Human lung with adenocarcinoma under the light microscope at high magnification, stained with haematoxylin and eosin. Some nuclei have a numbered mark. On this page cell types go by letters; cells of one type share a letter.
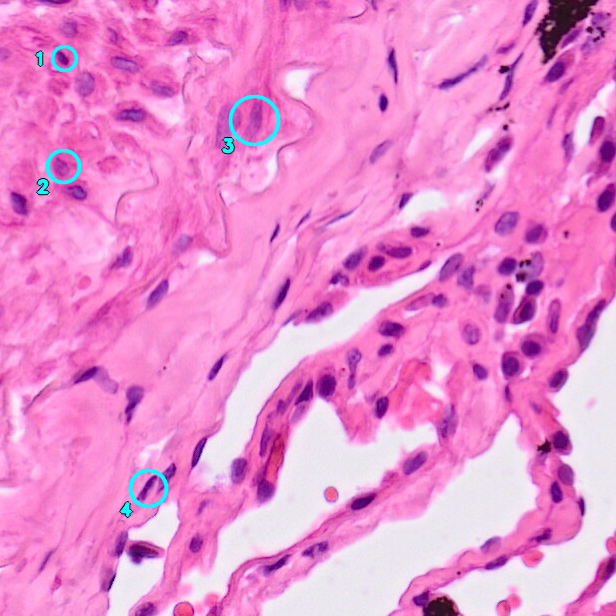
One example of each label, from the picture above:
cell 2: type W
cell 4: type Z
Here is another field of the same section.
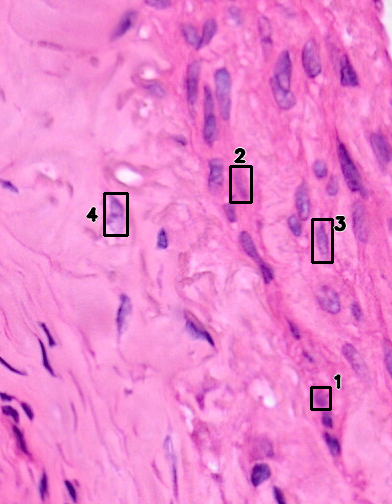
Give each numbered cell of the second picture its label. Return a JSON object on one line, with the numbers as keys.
{"1": "type W", "2": "type W", "3": "type W", "4": "type Z"}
